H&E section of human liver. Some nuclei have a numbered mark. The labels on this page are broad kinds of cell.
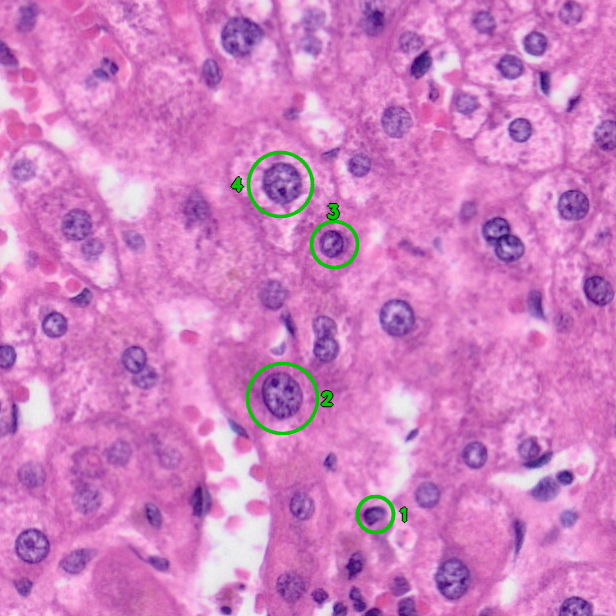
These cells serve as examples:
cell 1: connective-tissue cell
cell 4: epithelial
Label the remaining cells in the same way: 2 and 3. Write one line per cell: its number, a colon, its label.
2: epithelial
3: epithelial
